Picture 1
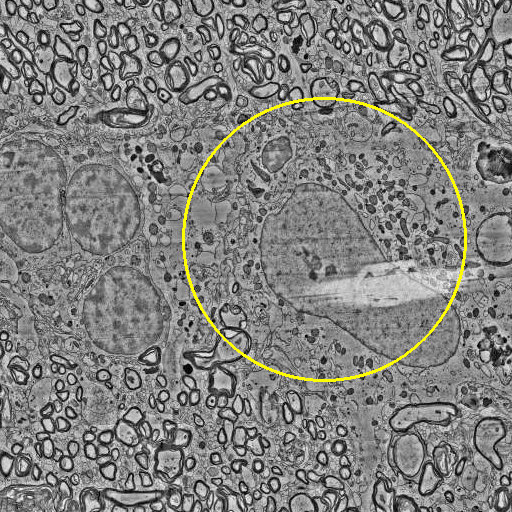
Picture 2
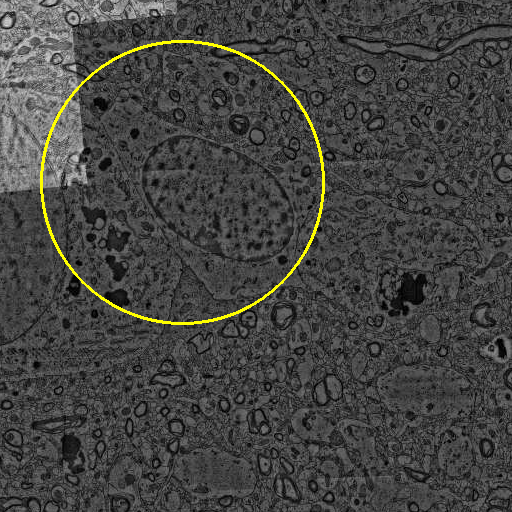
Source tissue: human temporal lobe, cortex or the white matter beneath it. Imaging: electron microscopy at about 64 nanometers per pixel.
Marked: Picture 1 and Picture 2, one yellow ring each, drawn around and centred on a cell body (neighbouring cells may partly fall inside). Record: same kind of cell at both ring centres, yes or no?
no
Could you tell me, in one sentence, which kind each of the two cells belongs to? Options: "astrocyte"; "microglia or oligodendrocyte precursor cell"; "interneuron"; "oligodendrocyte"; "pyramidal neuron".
At the centre of the first ring sits an astrocyte, and at the centre of the second sits a microglial cell or oligodendrocyte precursor cell.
